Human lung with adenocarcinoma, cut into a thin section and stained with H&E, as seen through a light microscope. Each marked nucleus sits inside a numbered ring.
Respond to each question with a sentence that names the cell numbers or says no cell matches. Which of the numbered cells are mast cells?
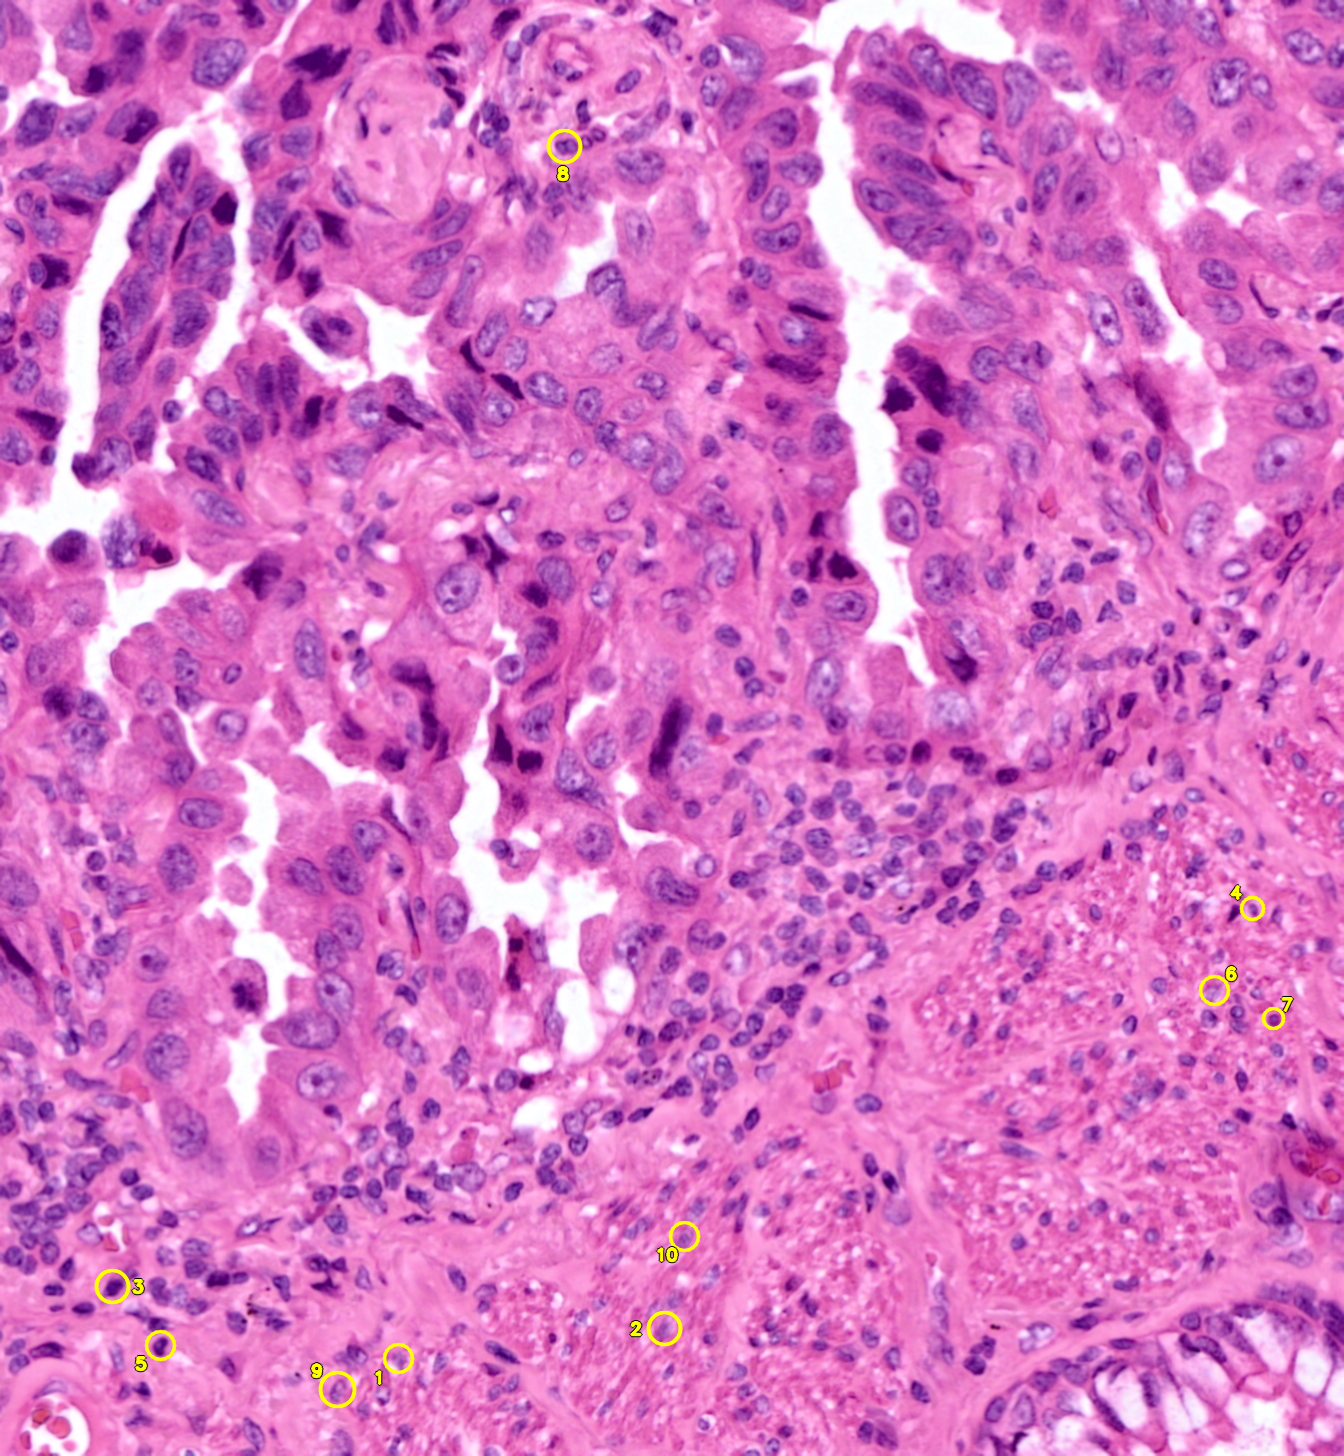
In this section, the cells labelled 5 and 9 are mast cells.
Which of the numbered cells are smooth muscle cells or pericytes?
The numbers 1, 2, 4, 6, 7 and 10 in this section indicate smooth muscle cells or pericytes.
